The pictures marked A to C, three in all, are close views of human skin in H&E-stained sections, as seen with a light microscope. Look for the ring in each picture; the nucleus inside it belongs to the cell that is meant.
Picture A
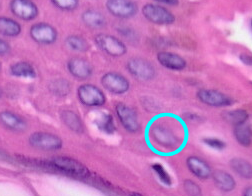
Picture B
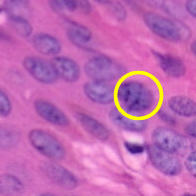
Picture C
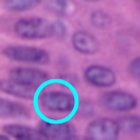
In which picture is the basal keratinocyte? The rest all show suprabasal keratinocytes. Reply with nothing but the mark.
B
